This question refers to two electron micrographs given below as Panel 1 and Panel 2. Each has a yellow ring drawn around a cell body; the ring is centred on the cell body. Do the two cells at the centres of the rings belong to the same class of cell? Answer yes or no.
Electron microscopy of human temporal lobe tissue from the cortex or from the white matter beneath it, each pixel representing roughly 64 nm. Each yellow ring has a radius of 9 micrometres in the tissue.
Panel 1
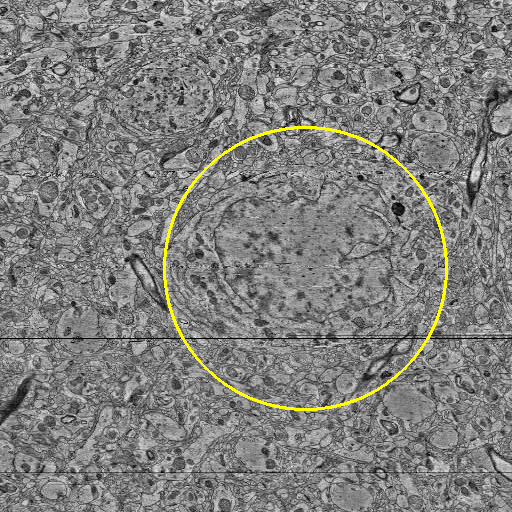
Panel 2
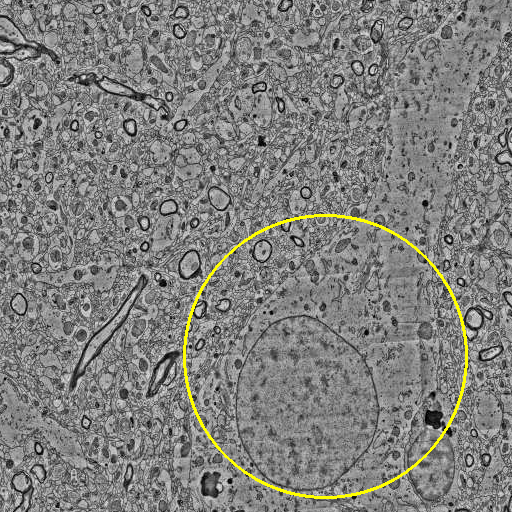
no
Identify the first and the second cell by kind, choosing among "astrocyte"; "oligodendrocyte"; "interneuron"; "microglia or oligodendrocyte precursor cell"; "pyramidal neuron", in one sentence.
The one in the first picture is an interneuron, while the one in the second is a pyramidal neuron.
